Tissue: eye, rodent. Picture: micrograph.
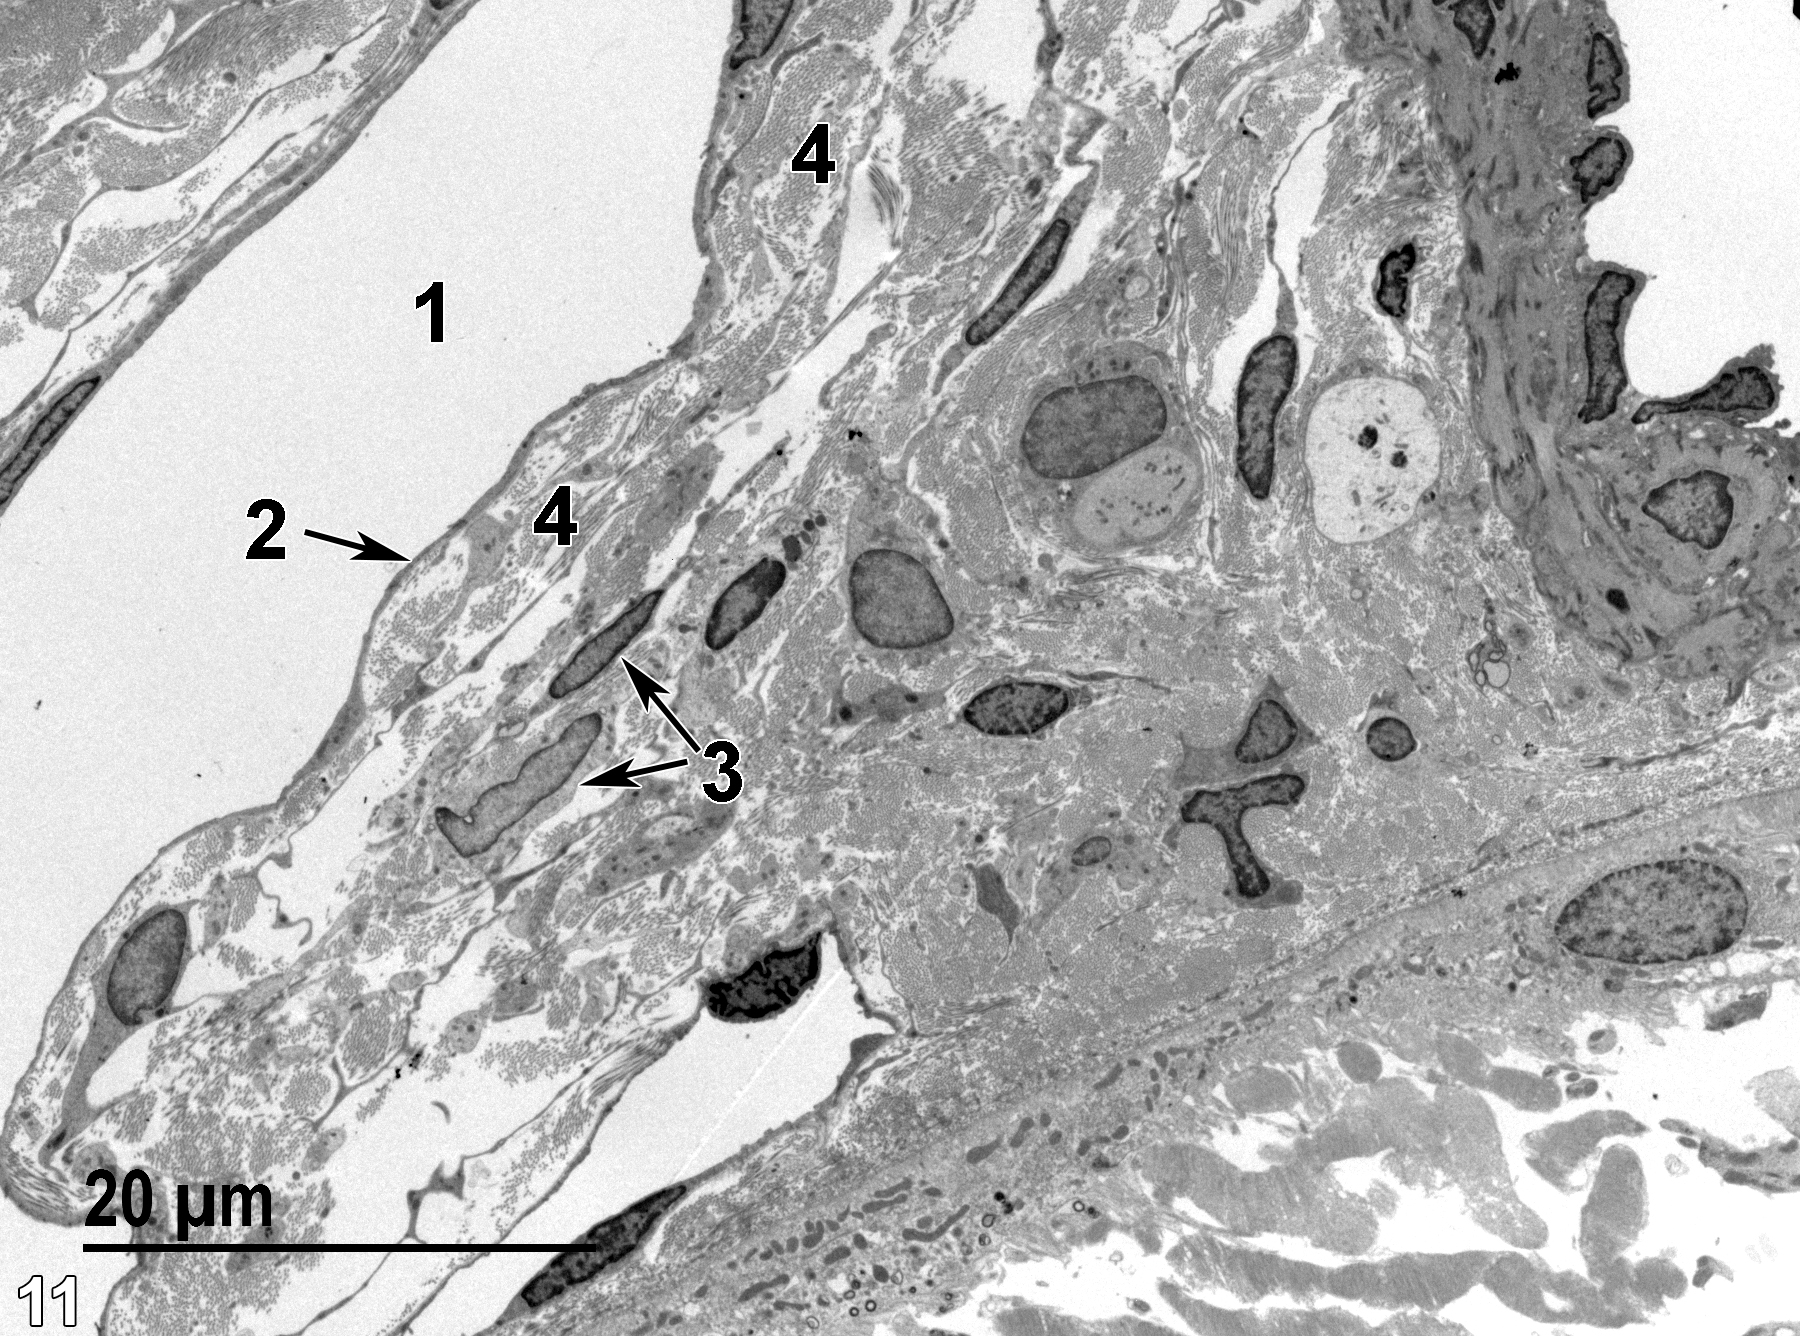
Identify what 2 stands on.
At 2: endothelium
